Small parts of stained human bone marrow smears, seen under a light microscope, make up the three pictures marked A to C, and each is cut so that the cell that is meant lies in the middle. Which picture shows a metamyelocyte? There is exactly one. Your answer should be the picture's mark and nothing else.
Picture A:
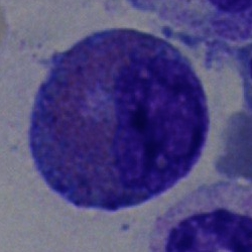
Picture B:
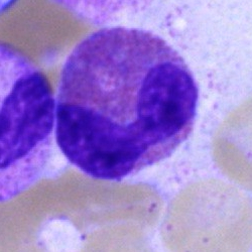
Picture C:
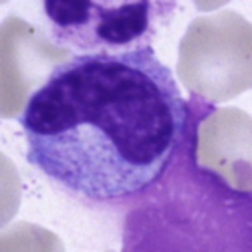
C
